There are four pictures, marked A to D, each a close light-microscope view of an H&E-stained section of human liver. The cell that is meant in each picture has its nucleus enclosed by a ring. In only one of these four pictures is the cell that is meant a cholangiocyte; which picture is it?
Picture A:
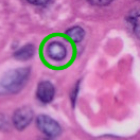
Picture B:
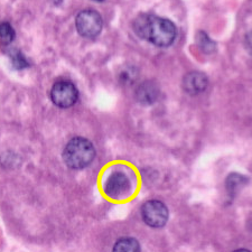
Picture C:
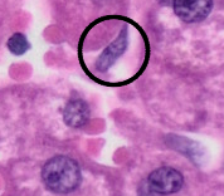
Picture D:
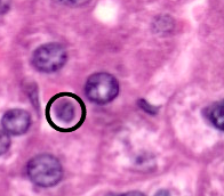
A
